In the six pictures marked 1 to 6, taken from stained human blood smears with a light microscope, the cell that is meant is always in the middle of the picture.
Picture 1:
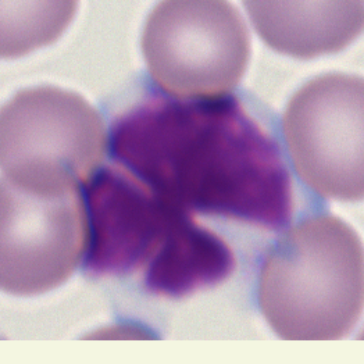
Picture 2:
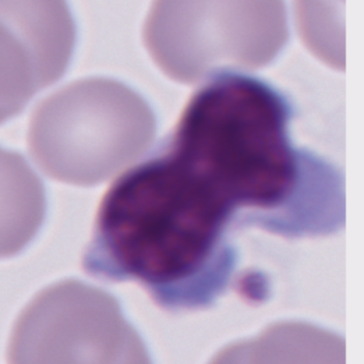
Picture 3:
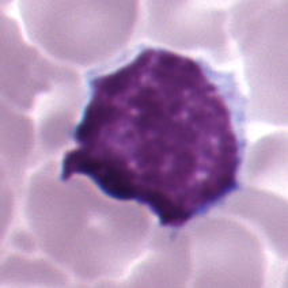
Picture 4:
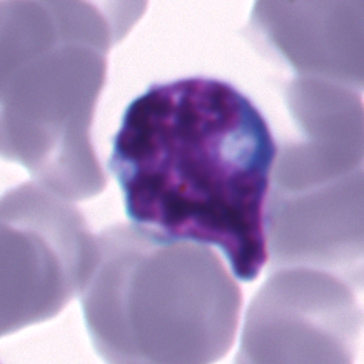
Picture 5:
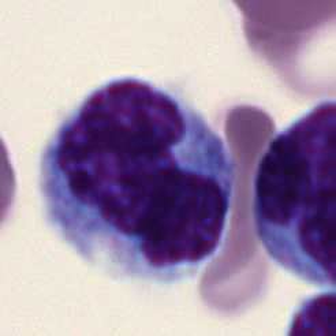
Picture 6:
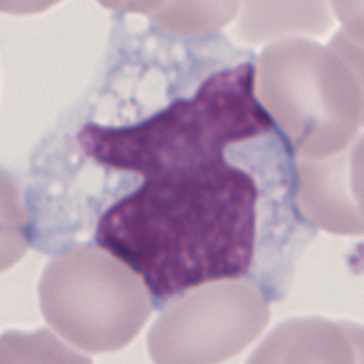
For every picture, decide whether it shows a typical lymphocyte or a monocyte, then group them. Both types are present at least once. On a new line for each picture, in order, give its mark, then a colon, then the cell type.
1: typical lymphocyte
2: typical lymphocyte
3: typical lymphocyte
4: typical lymphocyte
5: monocyte
6: monocyte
